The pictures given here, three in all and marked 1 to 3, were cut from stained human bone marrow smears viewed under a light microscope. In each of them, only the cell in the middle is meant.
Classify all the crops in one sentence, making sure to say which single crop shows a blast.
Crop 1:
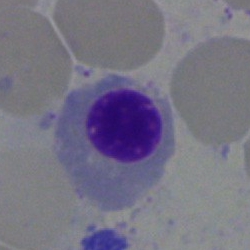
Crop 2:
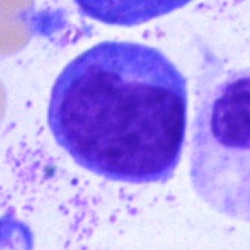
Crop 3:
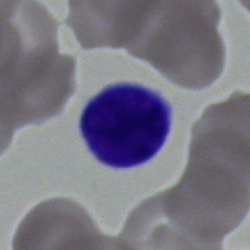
Crop 2 is where a blast is shown, whereas crop 1 is an erythroblast and crop 3 is a lymphocyte.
